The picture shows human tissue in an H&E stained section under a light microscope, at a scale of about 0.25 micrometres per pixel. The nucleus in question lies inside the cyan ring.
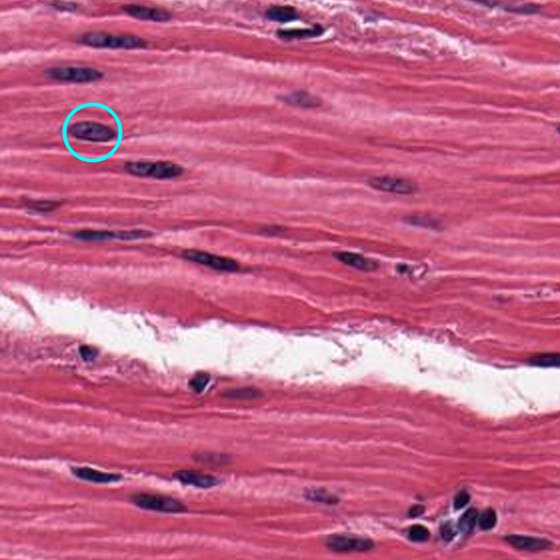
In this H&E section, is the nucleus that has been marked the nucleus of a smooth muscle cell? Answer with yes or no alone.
yes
